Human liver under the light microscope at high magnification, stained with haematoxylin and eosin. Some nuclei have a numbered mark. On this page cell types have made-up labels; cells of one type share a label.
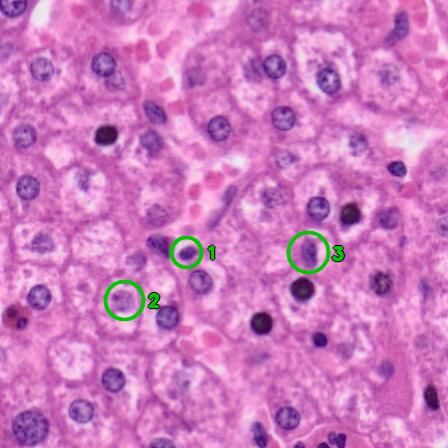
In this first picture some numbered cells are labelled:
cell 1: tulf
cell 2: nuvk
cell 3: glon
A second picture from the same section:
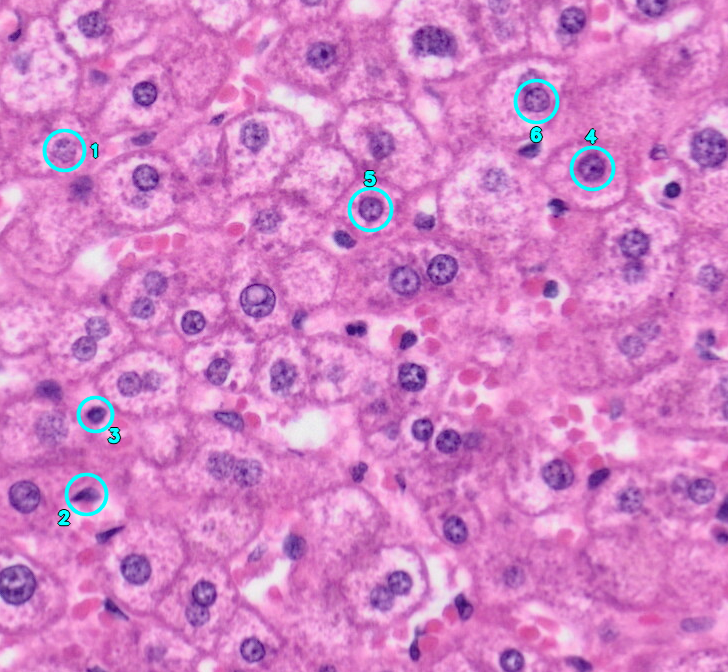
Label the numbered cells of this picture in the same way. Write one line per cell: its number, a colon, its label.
1: nuvk
2: glon
3: tulf
4: nuvk
5: nuvk
6: nuvk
